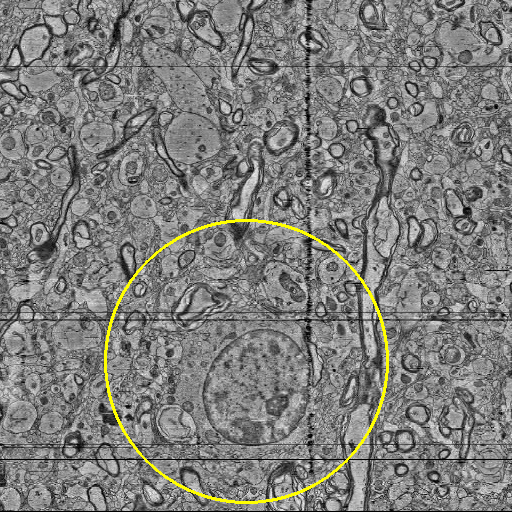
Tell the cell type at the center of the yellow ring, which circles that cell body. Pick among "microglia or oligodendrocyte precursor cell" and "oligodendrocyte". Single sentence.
The ring is centered on the body of an oligodendrocyte.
